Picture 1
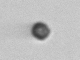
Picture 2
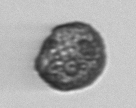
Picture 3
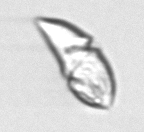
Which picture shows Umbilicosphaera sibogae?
Picture 2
